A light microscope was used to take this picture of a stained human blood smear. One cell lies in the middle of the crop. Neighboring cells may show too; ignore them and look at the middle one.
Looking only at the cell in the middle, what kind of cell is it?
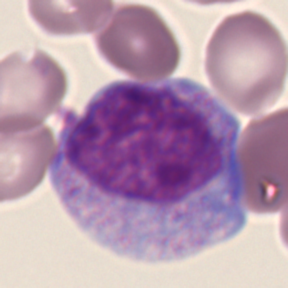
promyelocyte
